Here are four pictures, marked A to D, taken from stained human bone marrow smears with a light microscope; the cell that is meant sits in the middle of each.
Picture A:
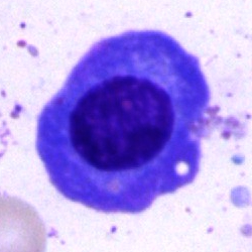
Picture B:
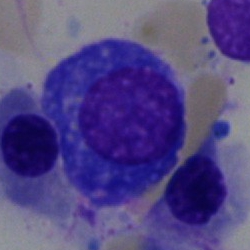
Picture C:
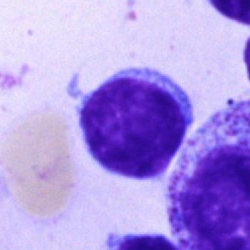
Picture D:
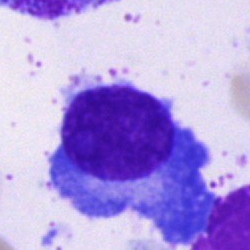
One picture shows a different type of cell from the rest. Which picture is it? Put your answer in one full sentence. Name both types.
All pictures except C show plasma cells; picture C shows a lymphocyte.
